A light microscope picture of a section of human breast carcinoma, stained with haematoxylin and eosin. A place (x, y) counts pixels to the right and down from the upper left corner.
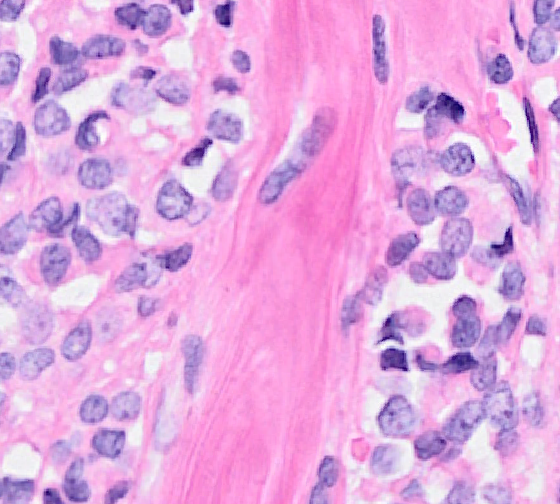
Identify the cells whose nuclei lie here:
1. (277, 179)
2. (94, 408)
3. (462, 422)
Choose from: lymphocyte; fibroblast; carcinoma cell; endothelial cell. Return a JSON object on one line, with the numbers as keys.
{"1": "fibroblast", "2": "carcinoma cell", "3": "carcinoma cell"}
